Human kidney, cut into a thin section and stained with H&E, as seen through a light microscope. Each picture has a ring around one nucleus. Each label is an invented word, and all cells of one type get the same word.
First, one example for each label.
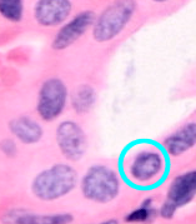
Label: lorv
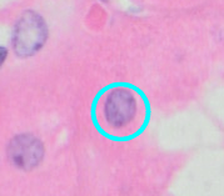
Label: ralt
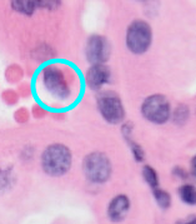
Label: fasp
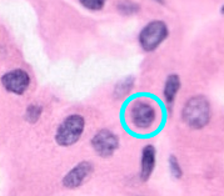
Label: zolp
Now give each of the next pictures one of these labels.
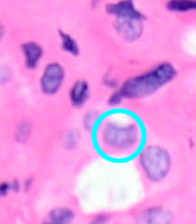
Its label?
lorv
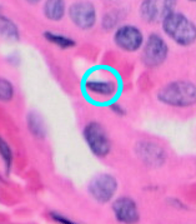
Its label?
fasp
